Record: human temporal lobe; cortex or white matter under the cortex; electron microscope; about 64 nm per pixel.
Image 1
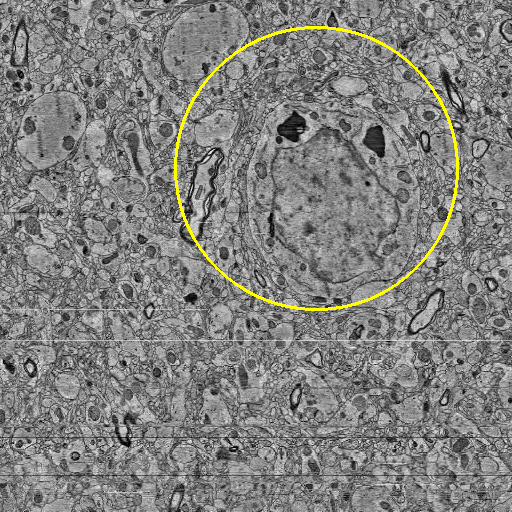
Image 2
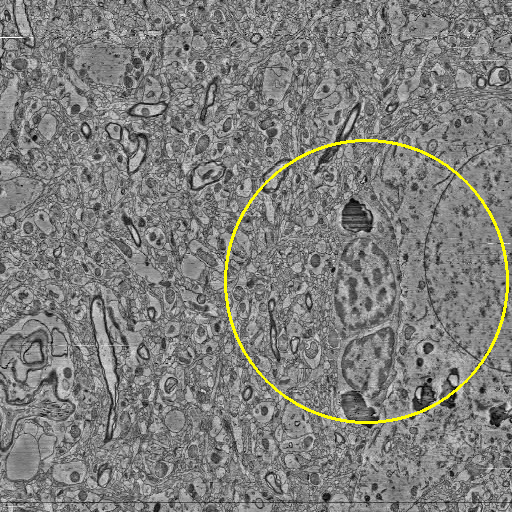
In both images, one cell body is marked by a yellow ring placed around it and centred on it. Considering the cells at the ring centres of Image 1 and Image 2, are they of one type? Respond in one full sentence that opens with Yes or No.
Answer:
No, two types apply to the ring-centred cells of Image 1 and Image 2.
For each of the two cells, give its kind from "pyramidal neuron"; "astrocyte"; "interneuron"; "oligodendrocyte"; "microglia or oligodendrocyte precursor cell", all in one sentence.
The first picture has an interneuron in its ring, the second has an oligodendrocyte.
